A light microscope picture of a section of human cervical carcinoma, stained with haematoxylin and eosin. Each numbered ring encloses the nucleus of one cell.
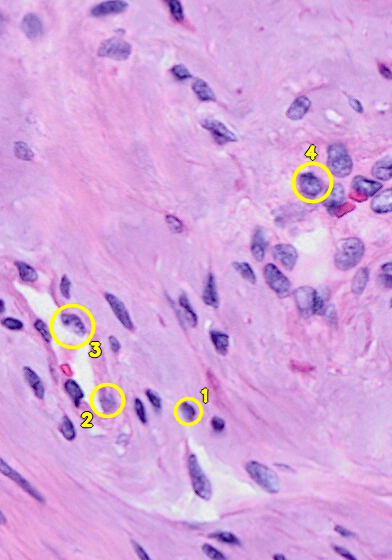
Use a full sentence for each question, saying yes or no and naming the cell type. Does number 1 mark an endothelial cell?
No, number 1 does not mark an endothelial cell; it marks a fibroblast.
